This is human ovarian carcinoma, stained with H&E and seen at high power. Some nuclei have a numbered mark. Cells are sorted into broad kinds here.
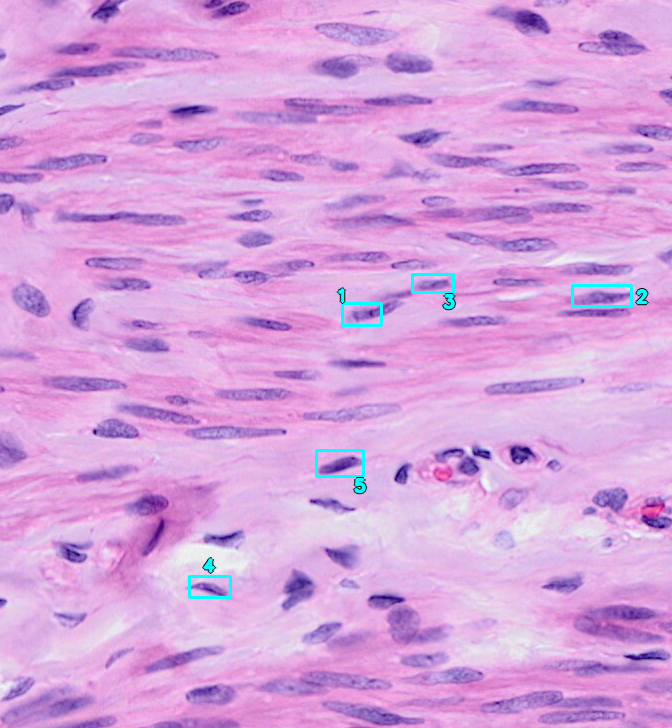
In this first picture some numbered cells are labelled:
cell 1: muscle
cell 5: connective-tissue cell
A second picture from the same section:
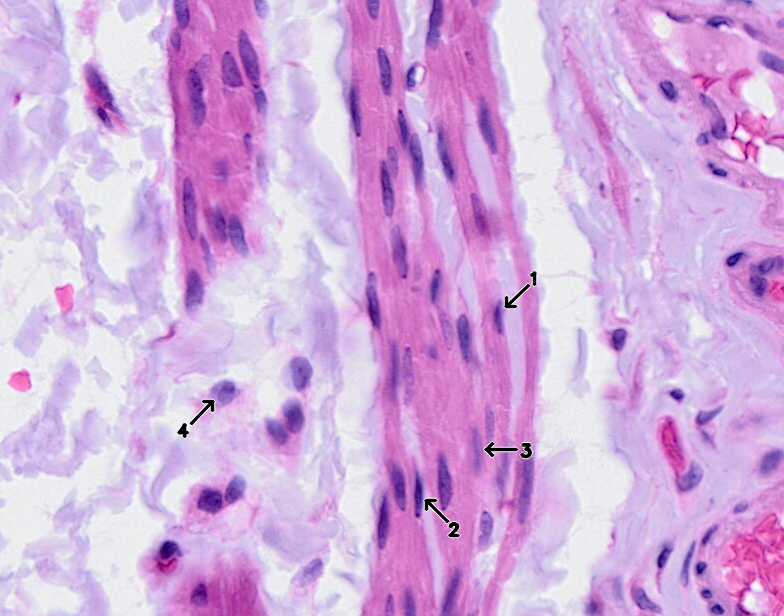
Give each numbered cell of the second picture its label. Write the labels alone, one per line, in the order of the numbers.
muscle
muscle
muscle
connective-tissue cell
